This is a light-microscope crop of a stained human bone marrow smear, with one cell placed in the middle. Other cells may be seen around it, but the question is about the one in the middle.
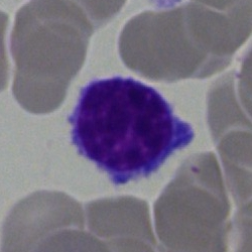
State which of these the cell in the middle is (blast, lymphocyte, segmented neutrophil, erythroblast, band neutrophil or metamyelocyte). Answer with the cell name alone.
lymphocyte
